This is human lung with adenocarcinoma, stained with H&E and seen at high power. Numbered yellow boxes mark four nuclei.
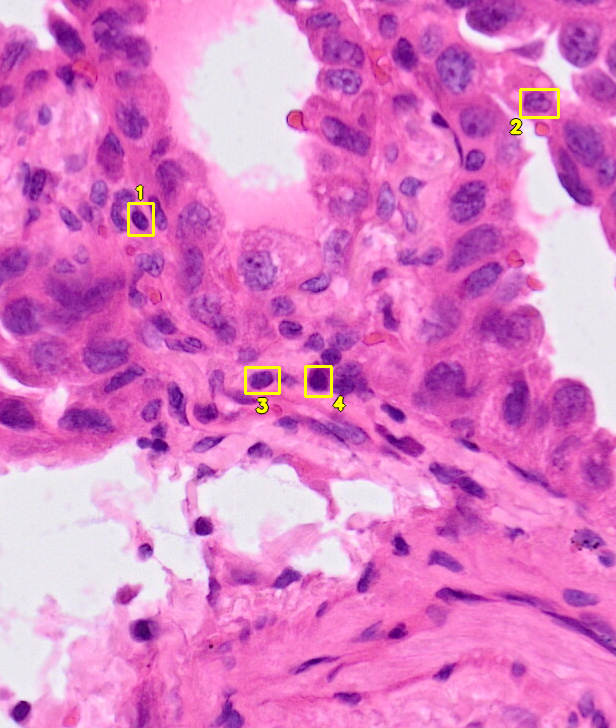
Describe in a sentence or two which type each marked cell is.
Cell 1 is a lymphocyte, cell 2 is a macrophage or monocyte, cell 3 is a lymphocyte and cell 4 is a plasma cell.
